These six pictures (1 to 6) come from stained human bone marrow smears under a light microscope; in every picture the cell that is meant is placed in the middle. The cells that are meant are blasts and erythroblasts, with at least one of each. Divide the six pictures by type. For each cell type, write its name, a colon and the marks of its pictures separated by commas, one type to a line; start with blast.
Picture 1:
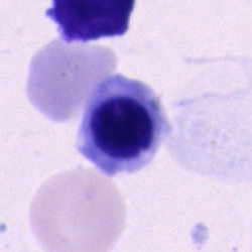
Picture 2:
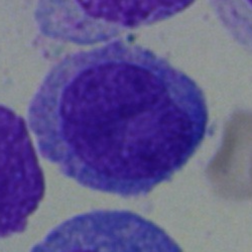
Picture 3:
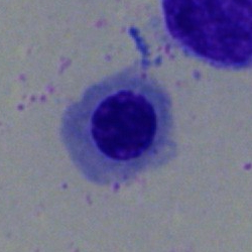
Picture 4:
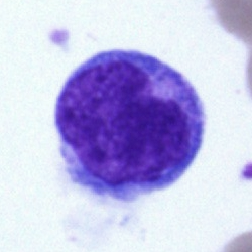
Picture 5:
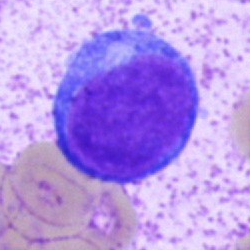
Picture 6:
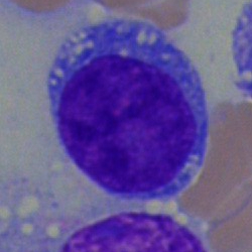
blast: 2, 4, 5, 6
erythroblast: 1, 3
